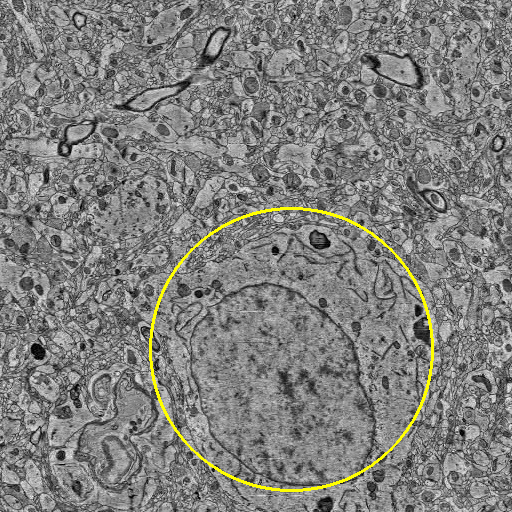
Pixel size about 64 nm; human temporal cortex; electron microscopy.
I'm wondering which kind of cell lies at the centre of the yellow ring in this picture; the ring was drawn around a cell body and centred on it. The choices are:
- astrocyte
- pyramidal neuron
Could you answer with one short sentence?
At the centre of the ring lies a pyramidal neuron.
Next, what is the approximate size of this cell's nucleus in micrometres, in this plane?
The nucleus has a long axis of about 15 micrometres and a short axis of about 11 micrometres in this plane.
